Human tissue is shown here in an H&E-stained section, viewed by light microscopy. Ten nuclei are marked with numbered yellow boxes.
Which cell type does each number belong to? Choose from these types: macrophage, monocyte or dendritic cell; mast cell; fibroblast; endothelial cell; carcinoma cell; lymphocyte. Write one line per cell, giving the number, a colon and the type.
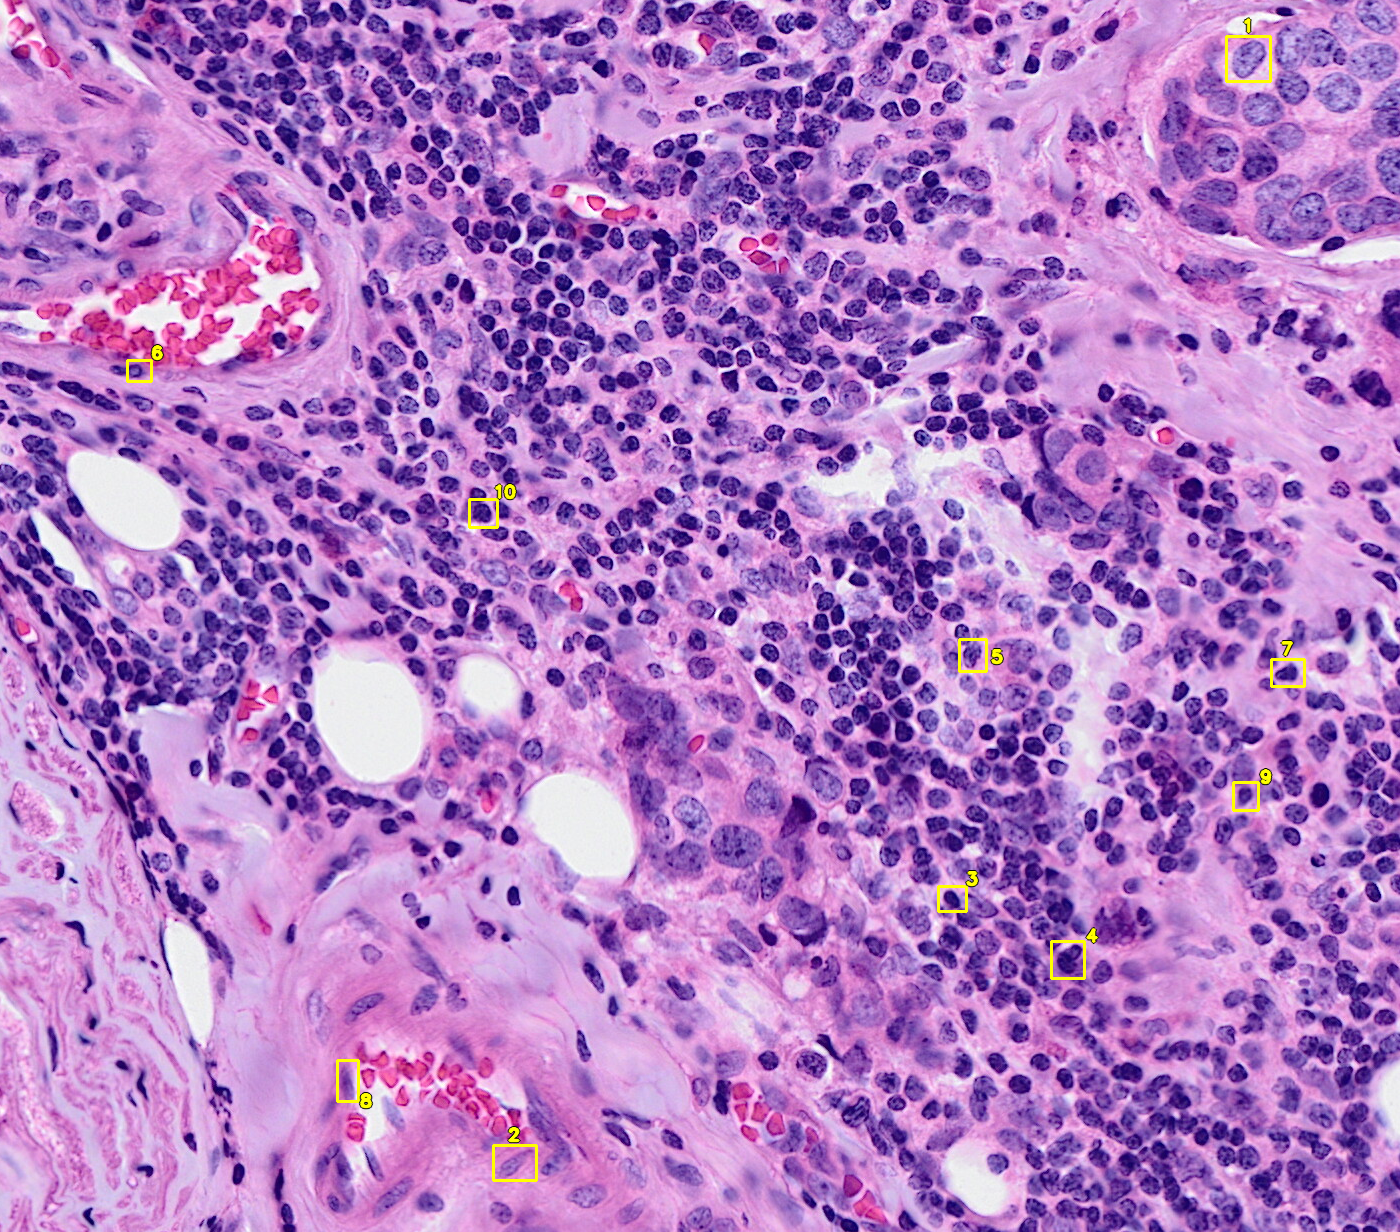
1: carcinoma cell
2: endothelial cell
3: lymphocyte
4: lymphocyte
5: lymphocyte
6: endothelial cell
7: lymphocyte
8: endothelial cell
9: lymphocyte
10: lymphocyte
